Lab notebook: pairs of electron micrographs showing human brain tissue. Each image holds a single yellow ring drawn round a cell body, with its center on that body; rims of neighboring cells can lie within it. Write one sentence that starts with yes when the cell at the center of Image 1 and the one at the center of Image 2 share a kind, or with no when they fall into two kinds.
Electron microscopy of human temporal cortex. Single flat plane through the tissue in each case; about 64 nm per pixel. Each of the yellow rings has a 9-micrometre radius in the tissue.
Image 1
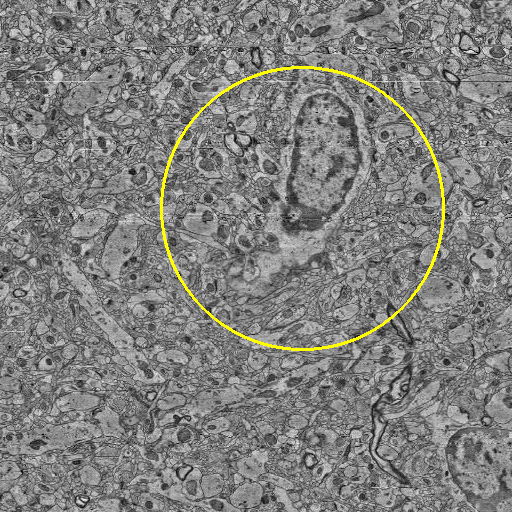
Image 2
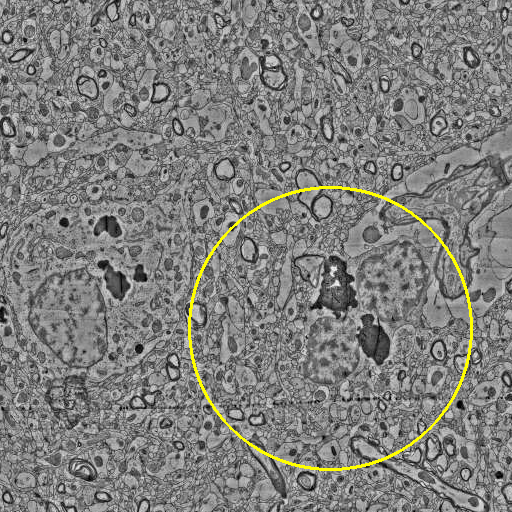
No, the centered cell in Image 1 and the centered cell in Image 2 are of two kinds.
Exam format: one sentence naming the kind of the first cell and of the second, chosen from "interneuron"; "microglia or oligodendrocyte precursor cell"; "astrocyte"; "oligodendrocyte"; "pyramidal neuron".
The first picture's cell is a microglial cell or oligodendrocyte precursor cell, and the second picture's cell is an oligodendrocyte.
